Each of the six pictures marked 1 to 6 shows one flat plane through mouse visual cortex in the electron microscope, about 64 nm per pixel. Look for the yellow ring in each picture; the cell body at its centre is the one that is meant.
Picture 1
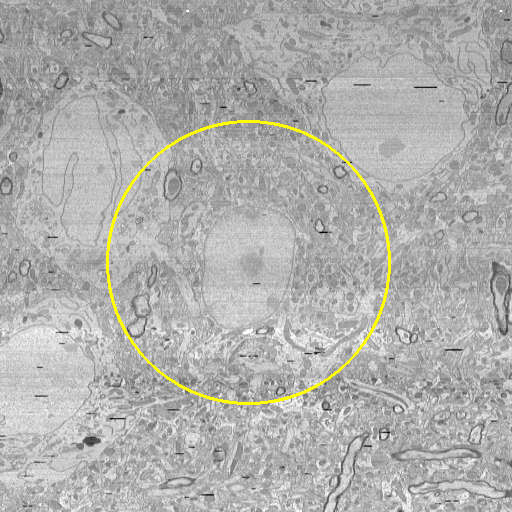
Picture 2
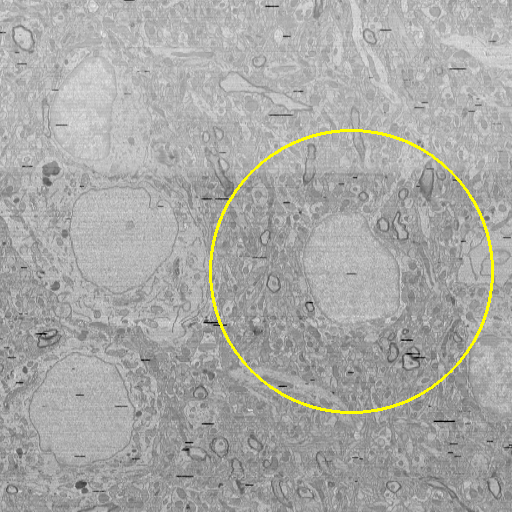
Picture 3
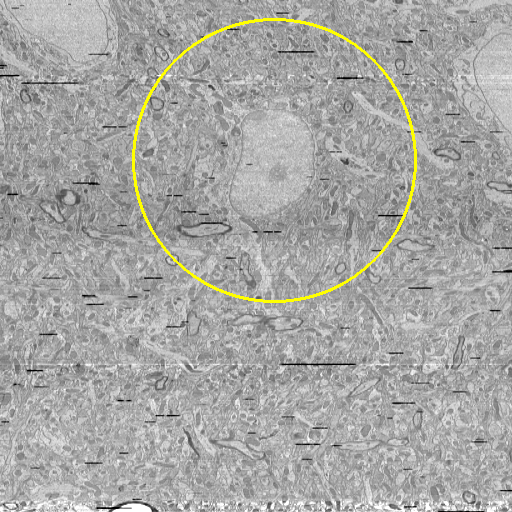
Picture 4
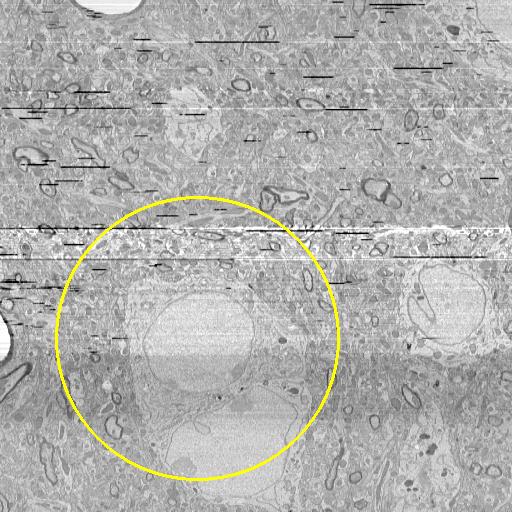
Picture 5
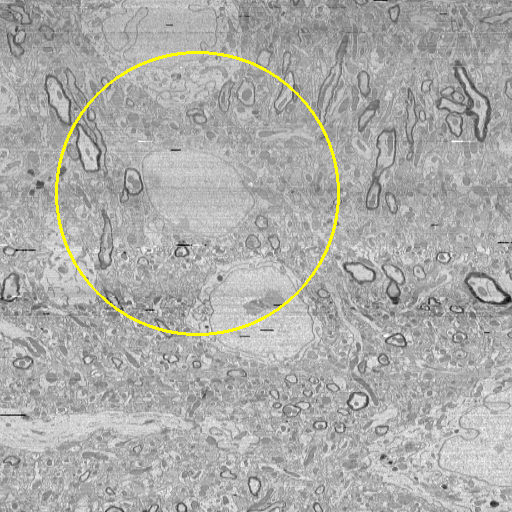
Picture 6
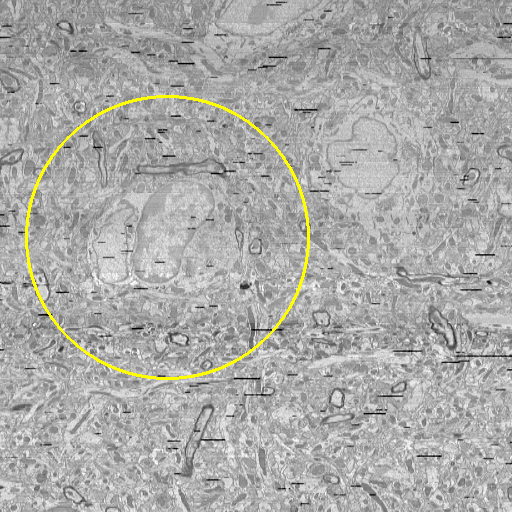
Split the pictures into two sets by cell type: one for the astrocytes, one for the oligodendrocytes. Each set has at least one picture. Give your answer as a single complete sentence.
Pictures 1, 2, 3 and 5 show astrocytes, and pictures 4 and 6 show oligodendrocytes.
